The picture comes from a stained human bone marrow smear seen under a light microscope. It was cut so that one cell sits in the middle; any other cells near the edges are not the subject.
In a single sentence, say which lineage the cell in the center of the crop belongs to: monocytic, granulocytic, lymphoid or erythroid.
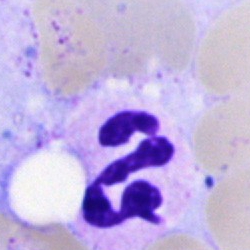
The cell at the very center of the crop belongs to the granulocytic lineage.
